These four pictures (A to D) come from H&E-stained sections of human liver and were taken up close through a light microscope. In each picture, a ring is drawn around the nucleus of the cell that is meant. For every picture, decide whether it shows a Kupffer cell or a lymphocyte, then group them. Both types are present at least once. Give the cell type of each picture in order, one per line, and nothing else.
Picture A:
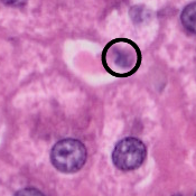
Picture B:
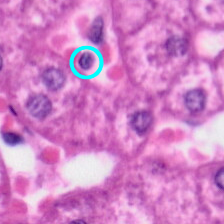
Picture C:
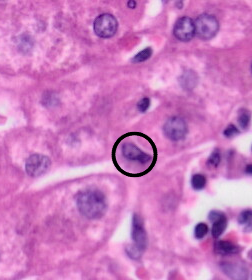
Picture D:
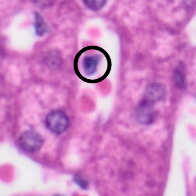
Kupffer cell
lymphocyte
Kupffer cell
lymphocyte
